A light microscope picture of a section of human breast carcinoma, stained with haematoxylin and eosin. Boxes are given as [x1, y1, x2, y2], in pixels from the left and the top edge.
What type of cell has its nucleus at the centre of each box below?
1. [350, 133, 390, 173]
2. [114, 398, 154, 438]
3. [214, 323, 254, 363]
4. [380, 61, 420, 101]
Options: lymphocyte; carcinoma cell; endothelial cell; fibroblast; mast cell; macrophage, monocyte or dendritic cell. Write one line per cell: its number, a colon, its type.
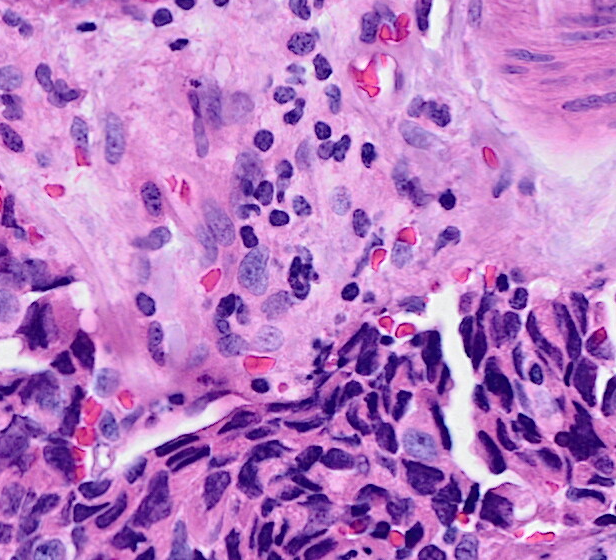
1: lymphocyte
2: endothelial cell
3: endothelial cell
4: endothelial cell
